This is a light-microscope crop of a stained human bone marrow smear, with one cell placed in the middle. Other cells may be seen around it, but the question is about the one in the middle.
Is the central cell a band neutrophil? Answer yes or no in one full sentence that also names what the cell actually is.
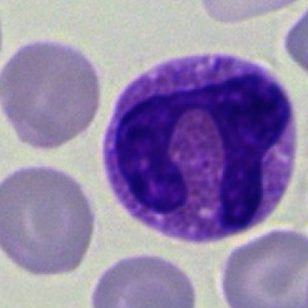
No, instead of being a band neutrophil, the middle cell is an eosinophil.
